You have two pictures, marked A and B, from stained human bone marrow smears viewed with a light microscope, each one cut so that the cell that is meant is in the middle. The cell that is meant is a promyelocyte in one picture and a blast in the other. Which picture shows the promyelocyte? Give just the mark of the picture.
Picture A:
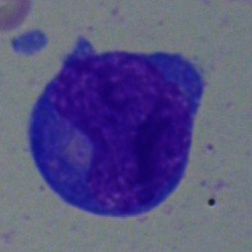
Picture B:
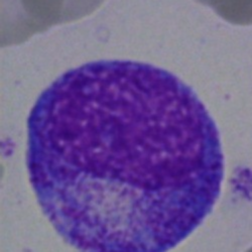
B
